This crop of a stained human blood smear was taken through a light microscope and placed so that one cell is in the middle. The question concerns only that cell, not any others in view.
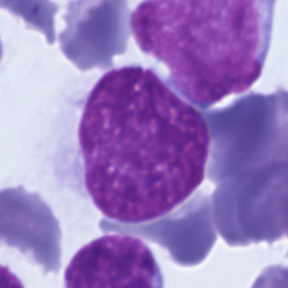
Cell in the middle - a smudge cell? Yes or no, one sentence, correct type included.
No, the cell in the centre of the crop is a myeloblast as opposed to a smudge cell.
